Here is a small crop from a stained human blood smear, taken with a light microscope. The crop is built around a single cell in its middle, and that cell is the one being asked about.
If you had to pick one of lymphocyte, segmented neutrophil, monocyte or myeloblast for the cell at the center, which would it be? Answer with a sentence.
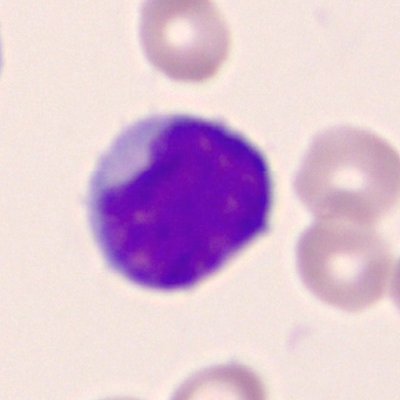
In the crop, the cell of interest at the centre is a myeloblast.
